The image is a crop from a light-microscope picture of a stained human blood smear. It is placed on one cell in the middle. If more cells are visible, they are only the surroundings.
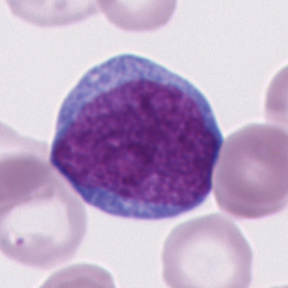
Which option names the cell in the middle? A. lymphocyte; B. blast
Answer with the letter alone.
B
